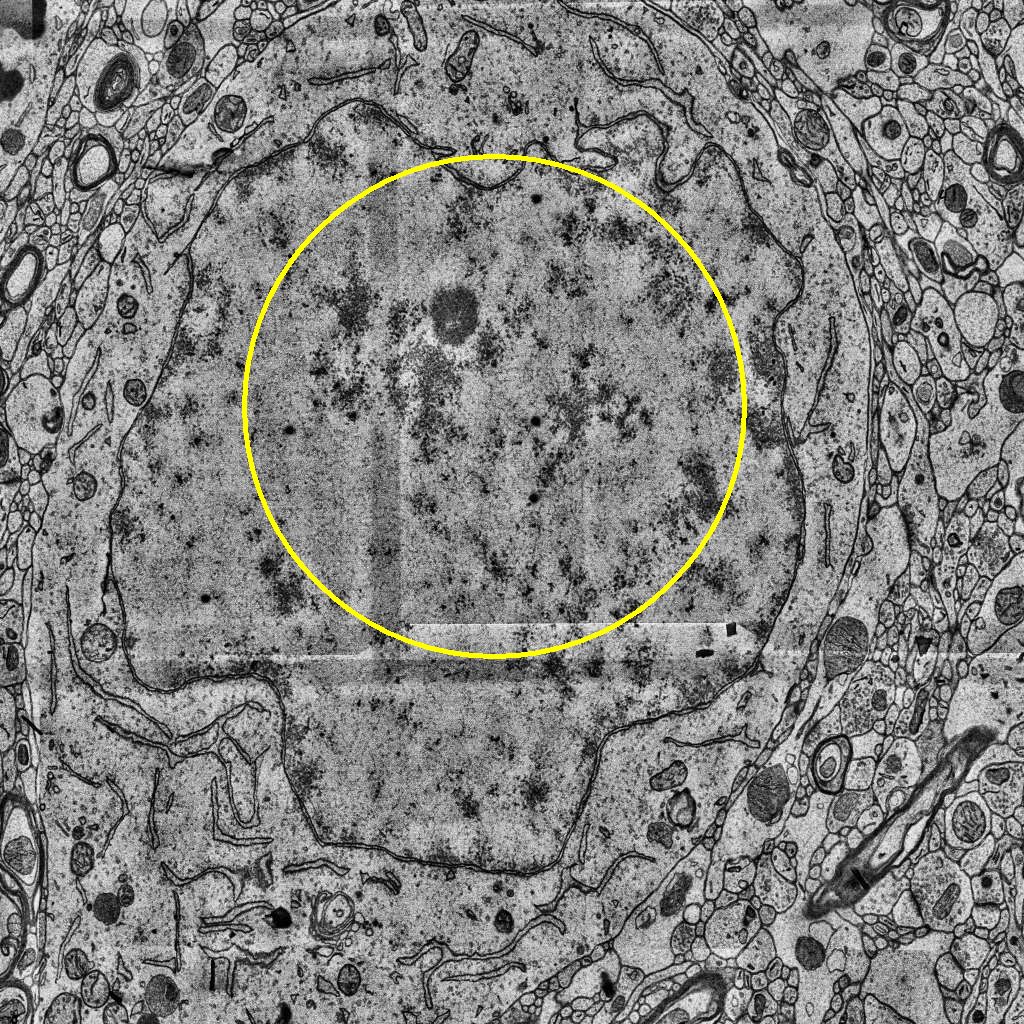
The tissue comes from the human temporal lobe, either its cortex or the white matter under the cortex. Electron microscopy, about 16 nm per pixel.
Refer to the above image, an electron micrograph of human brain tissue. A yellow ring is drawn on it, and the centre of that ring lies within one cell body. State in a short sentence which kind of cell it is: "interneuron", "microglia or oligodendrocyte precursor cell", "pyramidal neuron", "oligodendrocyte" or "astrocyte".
The centre of the ring falls on an interneuron.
